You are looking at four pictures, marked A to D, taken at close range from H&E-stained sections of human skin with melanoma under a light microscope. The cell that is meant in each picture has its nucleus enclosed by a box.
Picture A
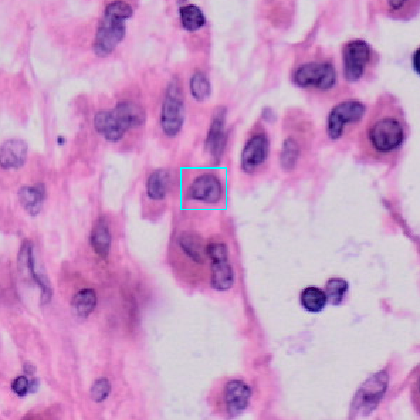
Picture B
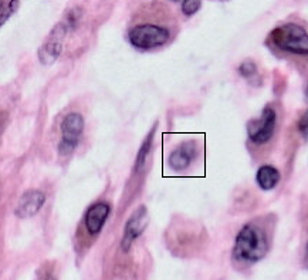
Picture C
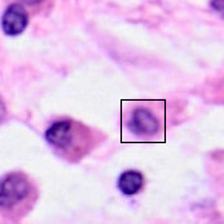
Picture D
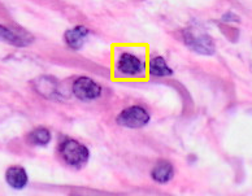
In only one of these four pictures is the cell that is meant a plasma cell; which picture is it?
D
